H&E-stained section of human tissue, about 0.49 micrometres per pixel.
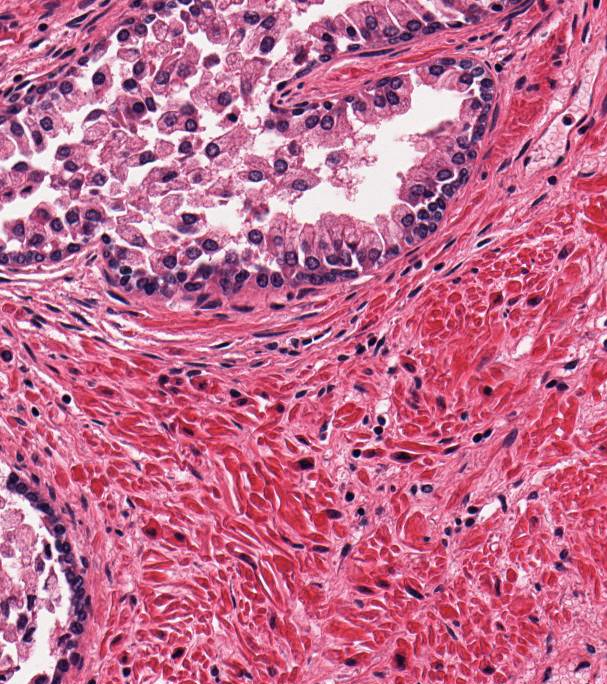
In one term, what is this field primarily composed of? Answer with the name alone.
fibromuscular stroma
